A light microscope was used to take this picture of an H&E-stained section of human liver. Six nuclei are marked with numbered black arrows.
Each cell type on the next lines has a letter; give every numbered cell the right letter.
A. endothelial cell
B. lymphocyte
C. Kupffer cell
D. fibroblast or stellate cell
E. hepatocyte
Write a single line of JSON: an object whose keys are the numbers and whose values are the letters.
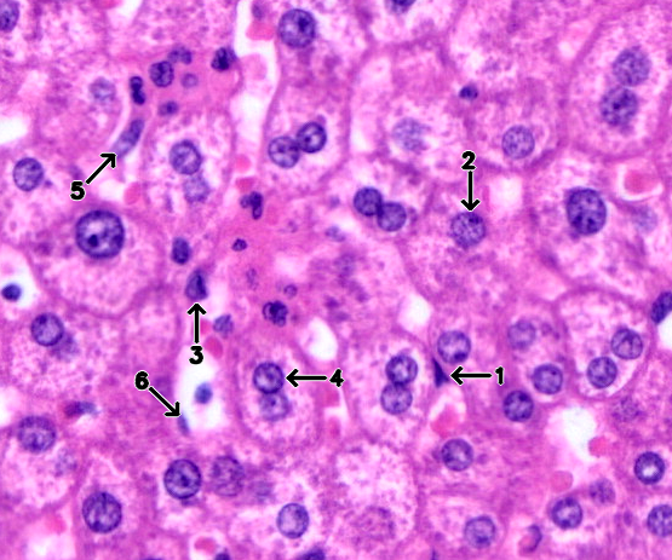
{"1": "D", "2": "E", "3": "C", "4": "E", "5": "C", "6": "A"}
